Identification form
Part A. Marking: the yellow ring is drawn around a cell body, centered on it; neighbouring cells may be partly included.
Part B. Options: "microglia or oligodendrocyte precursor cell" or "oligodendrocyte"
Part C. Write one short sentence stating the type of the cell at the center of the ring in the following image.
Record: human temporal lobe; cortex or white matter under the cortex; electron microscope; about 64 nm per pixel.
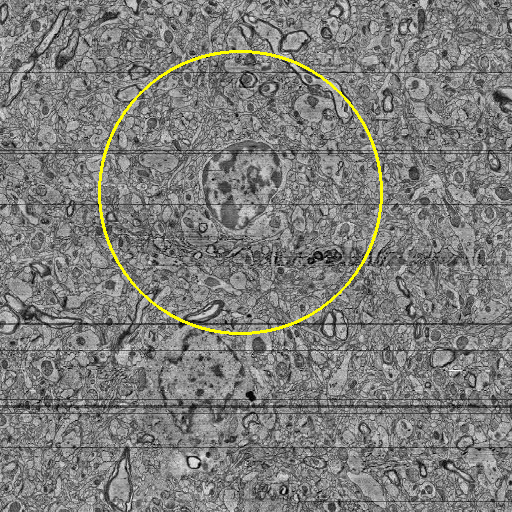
The center of the ring holds a microglial cell or oligodendrocyte precursor cell.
